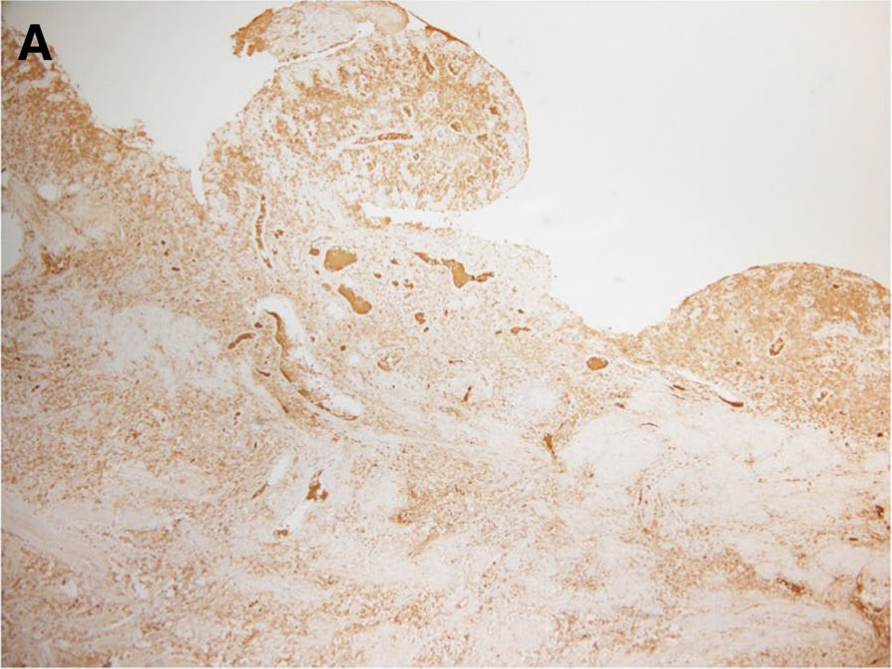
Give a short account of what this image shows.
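This low-magnification section shows tissue densely filled with a cellular infiltrate that takes up a diffuse light brown stain, heaviest along the surface, which bulges into rounded lobules. Scattered through the tissue are small, elongated and branching vessel lumina filled with dark brown material. Between the densely cellular regions lie paler, loosely textured bands of fibrous stroma with few cells. Individual cells cannot be resolved at this magnification.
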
